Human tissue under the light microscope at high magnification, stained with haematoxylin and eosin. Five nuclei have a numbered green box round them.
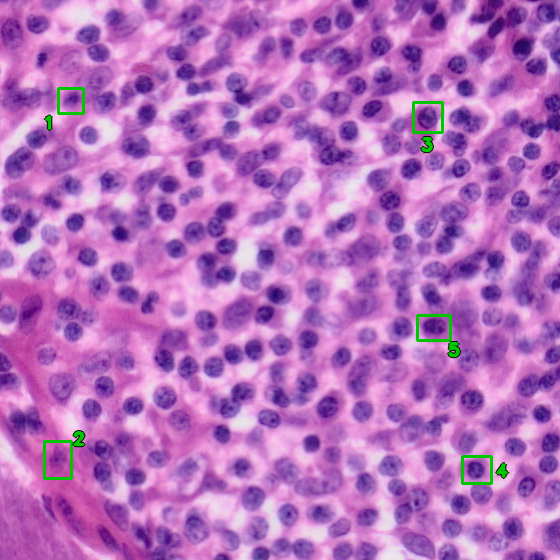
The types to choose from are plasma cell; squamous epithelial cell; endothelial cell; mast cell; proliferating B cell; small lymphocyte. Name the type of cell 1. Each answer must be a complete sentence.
The numbered cell 1 is identified here as a squamous epithelial cell.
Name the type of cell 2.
The cell marked with number 2 is a squamous epithelial cell.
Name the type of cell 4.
The correct label for cell 4 is a plasma cell.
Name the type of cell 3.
Cell 3 should be recorded as a plasma cell.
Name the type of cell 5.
The cell referenced by the number 5 is a plasma cell in this field.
